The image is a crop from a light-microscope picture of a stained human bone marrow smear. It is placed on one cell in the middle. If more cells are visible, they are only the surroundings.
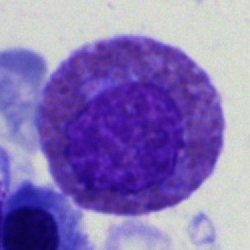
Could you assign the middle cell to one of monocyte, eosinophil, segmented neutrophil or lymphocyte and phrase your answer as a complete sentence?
In the crop, the cell of interest at the centre is an eosinophil.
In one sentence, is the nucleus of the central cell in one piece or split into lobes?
Please observe that the nucleus consists of one compact round, oval or kidney-shaped mass.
